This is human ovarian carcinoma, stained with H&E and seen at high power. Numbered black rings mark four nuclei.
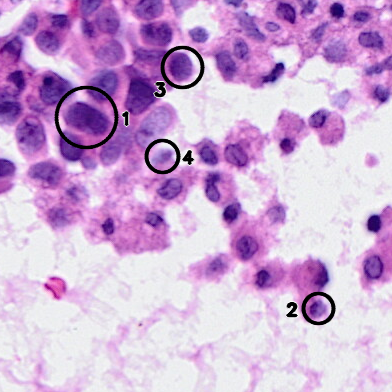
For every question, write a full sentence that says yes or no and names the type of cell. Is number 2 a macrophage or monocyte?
Yes, the cell carrying label 2 is a macrophage or monocyte.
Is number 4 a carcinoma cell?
No, it is a macrophage or monocyte that is marked with number 4, not a carcinoma cell.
